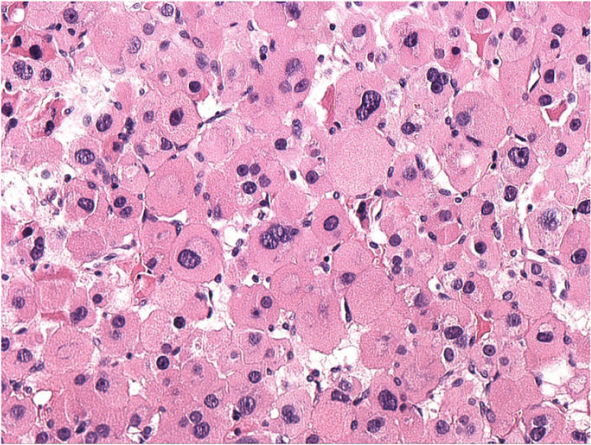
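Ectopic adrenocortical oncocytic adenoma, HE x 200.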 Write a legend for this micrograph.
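Sheets of large polygonal eosinophilic tumor cells fill the field, with abundant finely granular pink cytoplasm and distinct cell borders. Their nuclei differ markedly in size and shape: many are round and moderate, others are strikingly enlarged, irregular and dark, and a few cells contain two or more nuclei. Smaller cells with scant cytoplasm and small dark nuclei lie scattered between the large cells. Thin vascular channels and small clefts with a little red blood run between the cell groups. No glandular or organised architecture is seen.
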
